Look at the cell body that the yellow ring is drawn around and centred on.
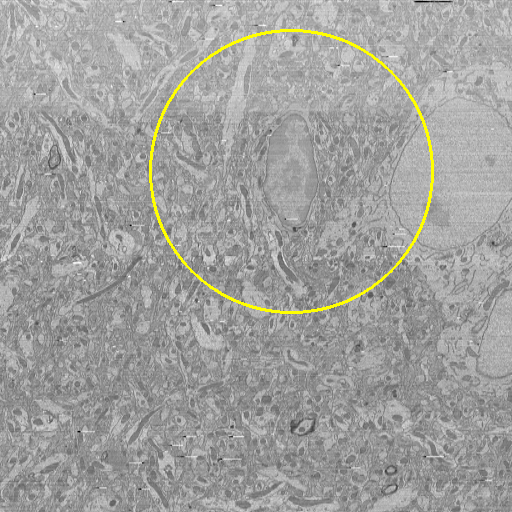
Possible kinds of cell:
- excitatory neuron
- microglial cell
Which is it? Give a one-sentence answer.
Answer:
The centred cell body is that of a microglial cell.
